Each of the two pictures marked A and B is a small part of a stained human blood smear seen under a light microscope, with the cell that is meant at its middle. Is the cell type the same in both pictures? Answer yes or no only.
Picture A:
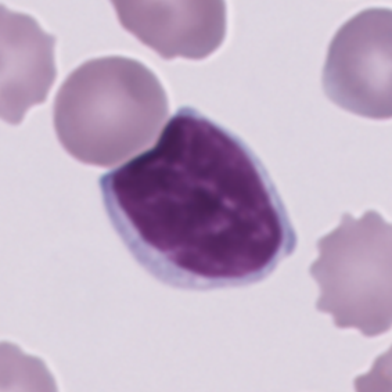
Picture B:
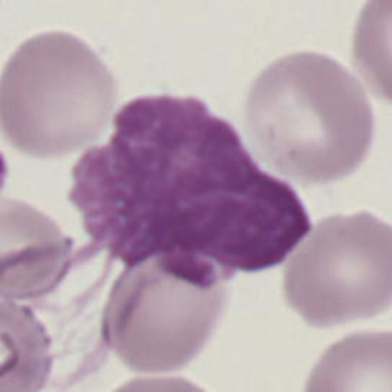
no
